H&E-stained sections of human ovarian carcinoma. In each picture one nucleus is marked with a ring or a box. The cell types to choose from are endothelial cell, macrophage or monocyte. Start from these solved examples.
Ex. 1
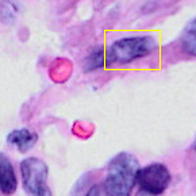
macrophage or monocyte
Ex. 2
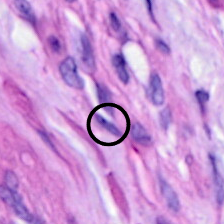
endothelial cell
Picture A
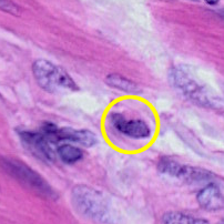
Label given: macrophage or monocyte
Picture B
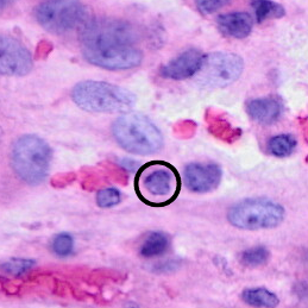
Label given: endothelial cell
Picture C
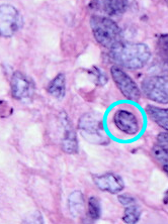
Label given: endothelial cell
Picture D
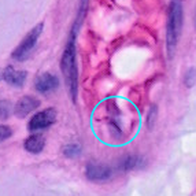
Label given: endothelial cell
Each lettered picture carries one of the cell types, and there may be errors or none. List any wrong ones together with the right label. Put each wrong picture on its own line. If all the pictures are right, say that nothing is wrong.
B is labelled endothelial cell; correct label: macrophage or monocyte
C is labelled endothelial cell; correct label: macrophage or monocyte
